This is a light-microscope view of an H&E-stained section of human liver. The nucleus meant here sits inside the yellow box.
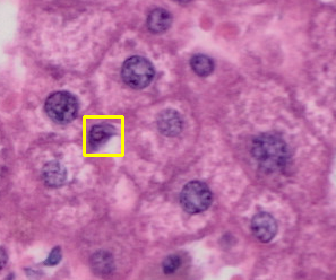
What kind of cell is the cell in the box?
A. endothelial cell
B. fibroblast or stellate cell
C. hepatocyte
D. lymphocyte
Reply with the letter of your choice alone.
A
